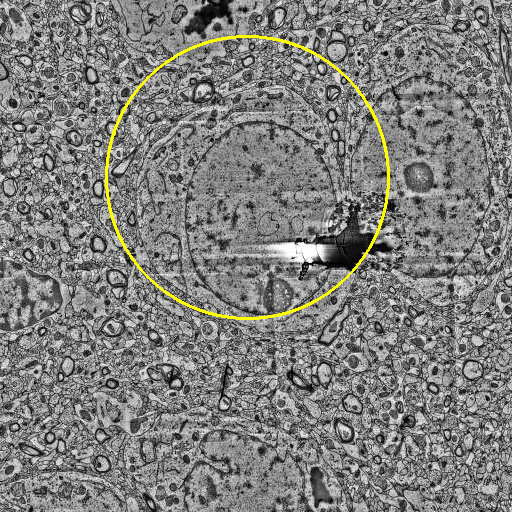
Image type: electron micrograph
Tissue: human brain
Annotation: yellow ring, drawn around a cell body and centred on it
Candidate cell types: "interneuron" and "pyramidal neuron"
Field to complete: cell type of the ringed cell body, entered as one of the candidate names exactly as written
pyramidal neuron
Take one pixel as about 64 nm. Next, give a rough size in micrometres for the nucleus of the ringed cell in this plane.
The ringed cell's nucleus is about 12 micrometres long and 10 micrometres wide in this plane.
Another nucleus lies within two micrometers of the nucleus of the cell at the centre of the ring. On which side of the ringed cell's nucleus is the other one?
That other nucleus is to the right of it.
